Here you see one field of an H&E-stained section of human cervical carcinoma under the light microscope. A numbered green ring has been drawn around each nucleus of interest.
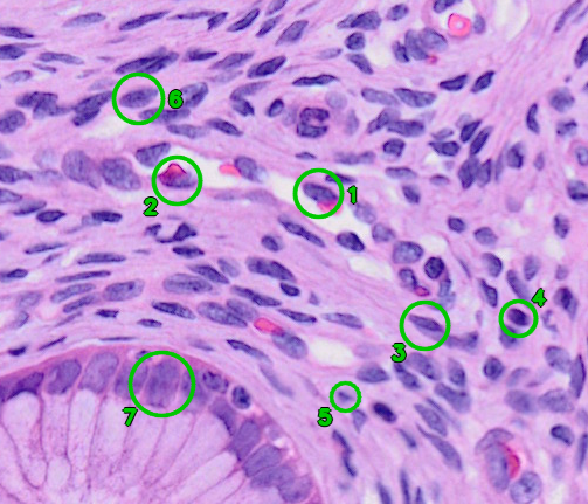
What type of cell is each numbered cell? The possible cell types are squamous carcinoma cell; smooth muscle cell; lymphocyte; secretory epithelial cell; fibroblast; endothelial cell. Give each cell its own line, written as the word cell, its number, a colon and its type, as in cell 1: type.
cell 1: endothelial cell
cell 2: endothelial cell
cell 3: fibroblast
cell 4: lymphocyte
cell 5: fibroblast
cell 6: fibroblast
cell 7: secretory epithelial cell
